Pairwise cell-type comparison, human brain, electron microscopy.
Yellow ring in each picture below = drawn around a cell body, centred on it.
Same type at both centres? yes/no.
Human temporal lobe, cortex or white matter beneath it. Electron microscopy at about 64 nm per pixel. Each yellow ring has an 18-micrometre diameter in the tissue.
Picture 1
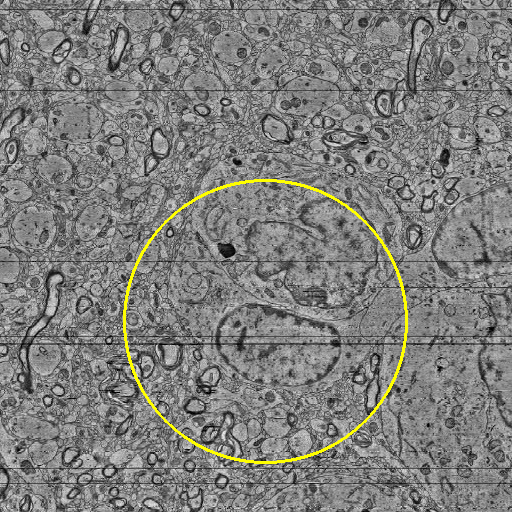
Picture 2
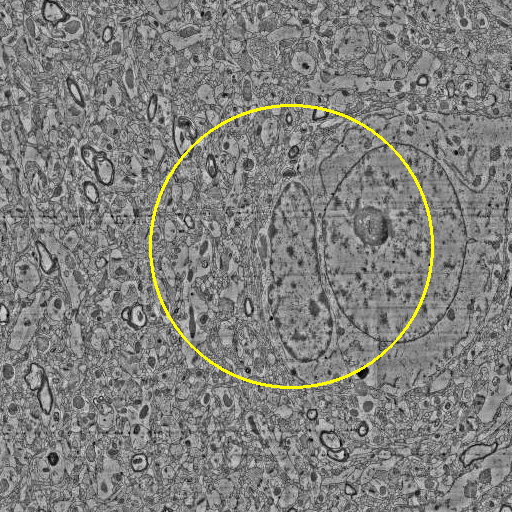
yes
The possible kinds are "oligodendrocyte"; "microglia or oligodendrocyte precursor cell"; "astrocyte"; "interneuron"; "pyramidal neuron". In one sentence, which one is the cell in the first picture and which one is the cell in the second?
Both pictures show a microglial cell or oligodendrocyte precursor cell at the centre of the ring.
